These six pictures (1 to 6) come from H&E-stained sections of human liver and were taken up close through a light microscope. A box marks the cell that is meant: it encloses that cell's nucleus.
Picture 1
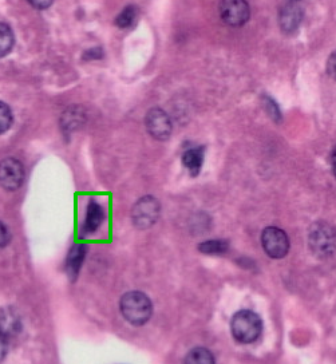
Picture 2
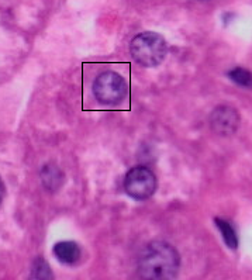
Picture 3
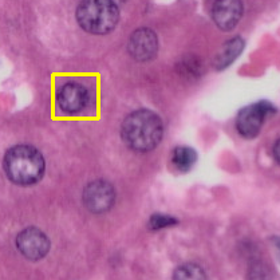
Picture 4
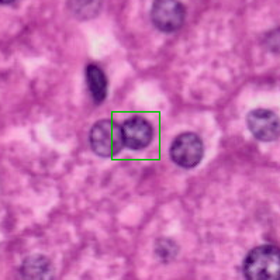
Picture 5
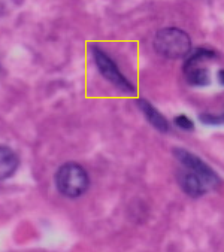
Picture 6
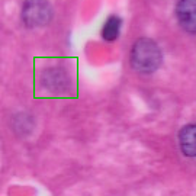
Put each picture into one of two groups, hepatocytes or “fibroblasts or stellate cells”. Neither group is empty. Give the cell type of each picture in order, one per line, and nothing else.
fibroblast or stellate cell
hepatocyte
hepatocyte
hepatocyte
fibroblast or stellate cell
hepatocyte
